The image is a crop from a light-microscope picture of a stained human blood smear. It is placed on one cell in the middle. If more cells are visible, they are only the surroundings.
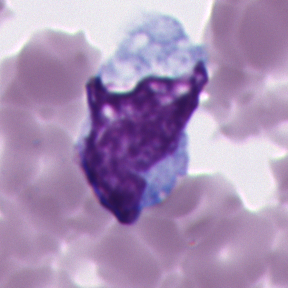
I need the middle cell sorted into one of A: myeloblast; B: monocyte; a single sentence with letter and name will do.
Option B is the correct selection, for the cell at the centre is a monocyte.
